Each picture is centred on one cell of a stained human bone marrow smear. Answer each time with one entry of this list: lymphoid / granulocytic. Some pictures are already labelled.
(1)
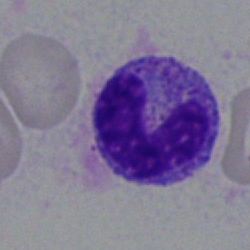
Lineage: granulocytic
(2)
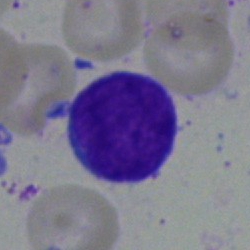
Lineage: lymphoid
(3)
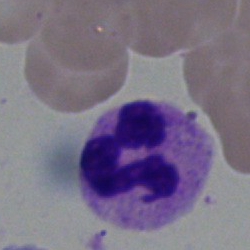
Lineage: granulocytic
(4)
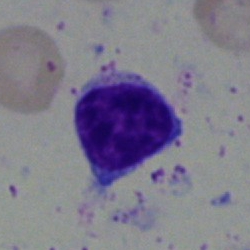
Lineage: lymphoid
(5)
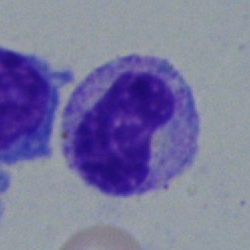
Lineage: granulocytic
